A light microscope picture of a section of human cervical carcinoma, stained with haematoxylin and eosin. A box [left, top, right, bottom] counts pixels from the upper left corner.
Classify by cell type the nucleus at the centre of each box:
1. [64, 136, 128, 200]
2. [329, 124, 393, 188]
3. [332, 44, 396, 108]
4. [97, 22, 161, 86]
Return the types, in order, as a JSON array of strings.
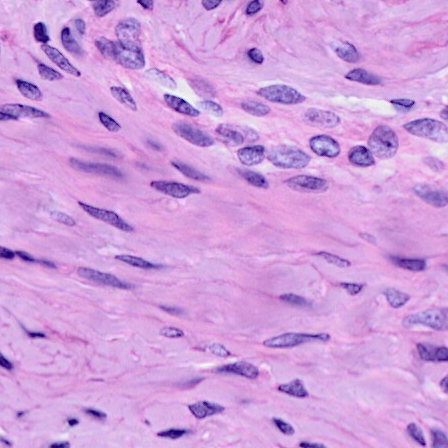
["fibroblast", "endothelial cell", "fibroblast", "endothelial cell"]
